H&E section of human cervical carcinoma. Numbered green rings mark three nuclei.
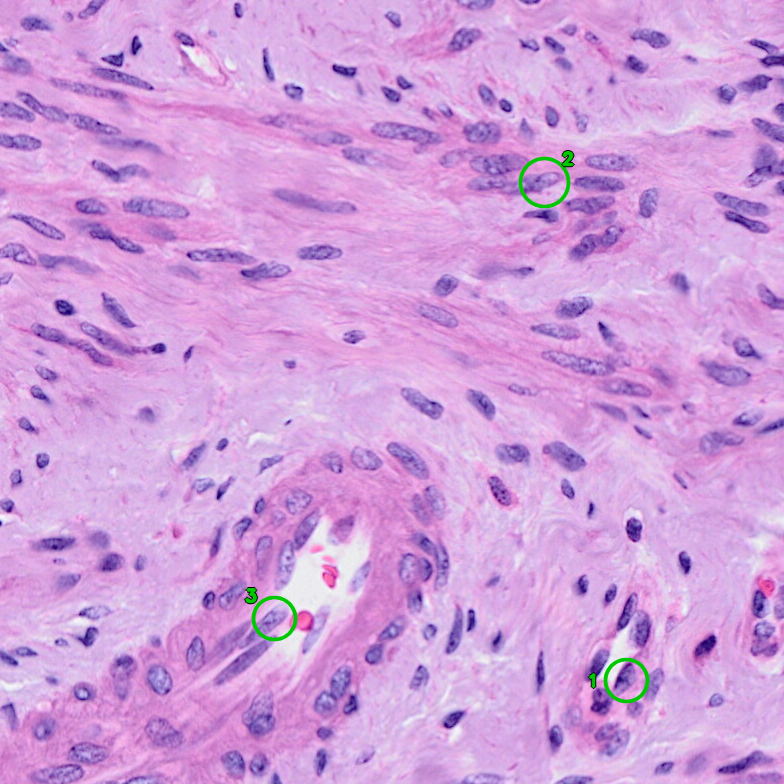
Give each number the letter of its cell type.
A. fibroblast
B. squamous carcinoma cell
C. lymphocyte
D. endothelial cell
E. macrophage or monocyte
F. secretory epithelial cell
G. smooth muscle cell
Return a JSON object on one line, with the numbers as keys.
{"1": "D", "2": "G", "3": "D"}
